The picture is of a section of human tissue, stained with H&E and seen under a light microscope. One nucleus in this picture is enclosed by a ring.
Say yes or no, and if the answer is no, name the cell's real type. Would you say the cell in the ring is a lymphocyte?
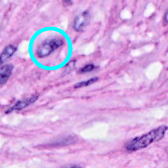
No, it is a fibroblast.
